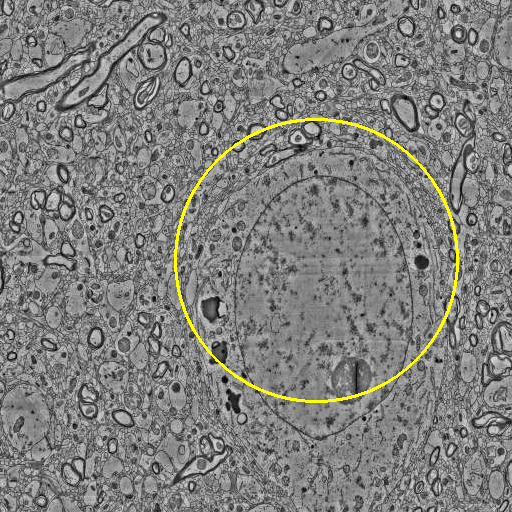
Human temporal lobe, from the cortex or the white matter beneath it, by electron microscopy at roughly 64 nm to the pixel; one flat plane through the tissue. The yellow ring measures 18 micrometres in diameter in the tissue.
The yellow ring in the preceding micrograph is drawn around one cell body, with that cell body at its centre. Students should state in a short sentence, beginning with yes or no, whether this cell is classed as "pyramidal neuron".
Yes, this cell is of that type.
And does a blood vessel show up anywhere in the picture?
No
